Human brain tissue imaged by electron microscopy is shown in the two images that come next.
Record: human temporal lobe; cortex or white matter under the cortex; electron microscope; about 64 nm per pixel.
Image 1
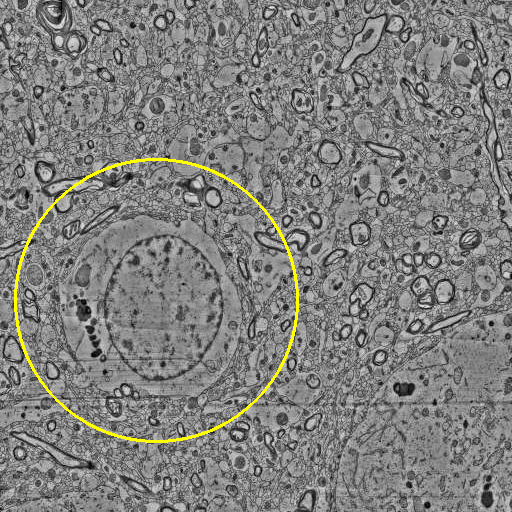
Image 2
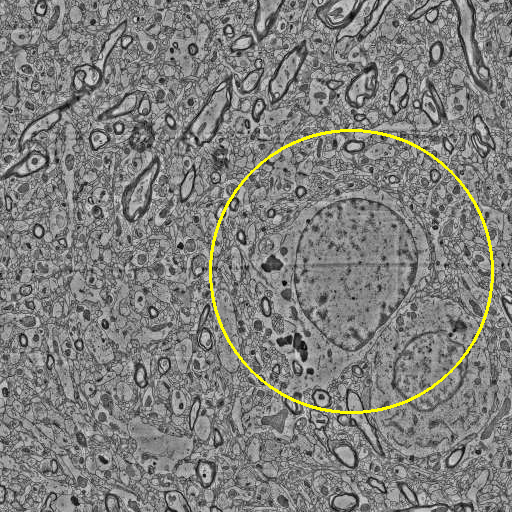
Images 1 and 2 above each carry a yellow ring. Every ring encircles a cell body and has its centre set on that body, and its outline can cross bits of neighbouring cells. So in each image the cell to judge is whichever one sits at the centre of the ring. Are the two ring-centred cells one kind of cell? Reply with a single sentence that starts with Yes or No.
Yes, in Image 1 and Image 2 the cells at the centres of their rings fall into one type.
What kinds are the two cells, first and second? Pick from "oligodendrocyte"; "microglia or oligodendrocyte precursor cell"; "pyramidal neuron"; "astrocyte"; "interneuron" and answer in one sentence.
In each of the two pictures, the ringed cell is an astrocyte.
